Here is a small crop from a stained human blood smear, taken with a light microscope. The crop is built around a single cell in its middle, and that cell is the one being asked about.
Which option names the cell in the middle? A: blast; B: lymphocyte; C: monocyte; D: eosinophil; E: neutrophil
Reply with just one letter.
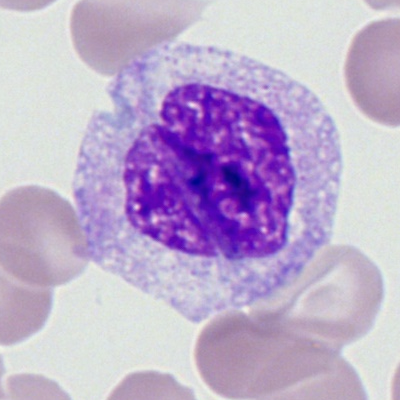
C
